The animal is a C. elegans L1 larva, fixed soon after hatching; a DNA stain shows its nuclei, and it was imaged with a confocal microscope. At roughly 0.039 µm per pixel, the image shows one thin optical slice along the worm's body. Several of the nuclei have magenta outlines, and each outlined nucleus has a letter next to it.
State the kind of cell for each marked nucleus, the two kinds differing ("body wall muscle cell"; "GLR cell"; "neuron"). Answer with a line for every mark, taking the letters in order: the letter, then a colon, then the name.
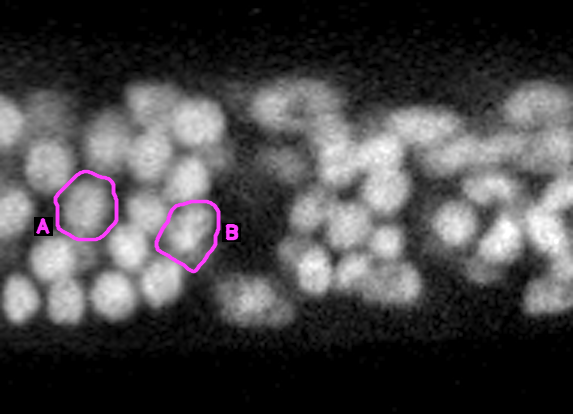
A: neuron
B: GLR cell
